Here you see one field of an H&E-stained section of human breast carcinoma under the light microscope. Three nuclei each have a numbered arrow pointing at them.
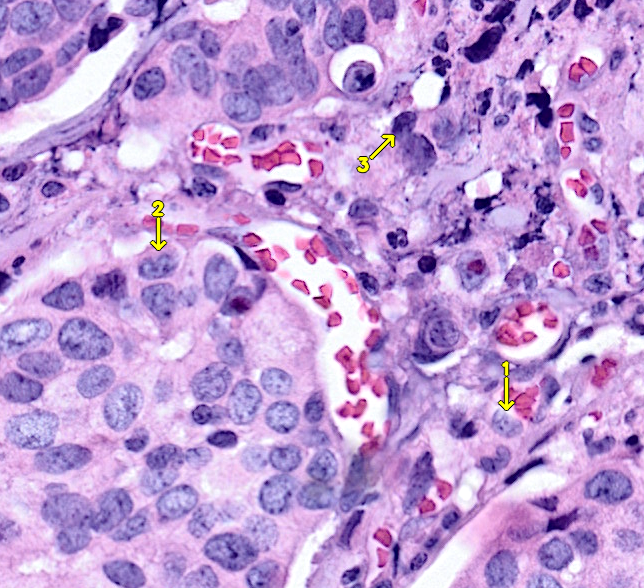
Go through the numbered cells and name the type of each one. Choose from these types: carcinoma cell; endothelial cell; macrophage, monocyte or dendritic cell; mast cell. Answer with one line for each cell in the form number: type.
1: endothelial cell
2: carcinoma cell
3: carcinoma cell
